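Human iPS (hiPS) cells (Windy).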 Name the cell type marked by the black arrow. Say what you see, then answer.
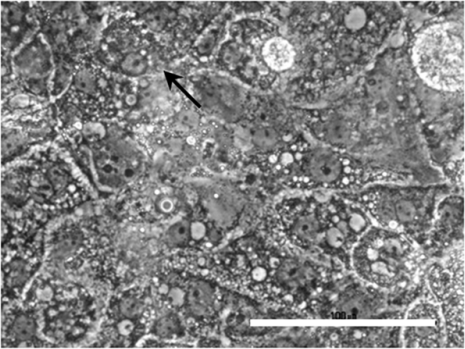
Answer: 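The cell is polygonal with a granular cytoplasm. So: binuclear cells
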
